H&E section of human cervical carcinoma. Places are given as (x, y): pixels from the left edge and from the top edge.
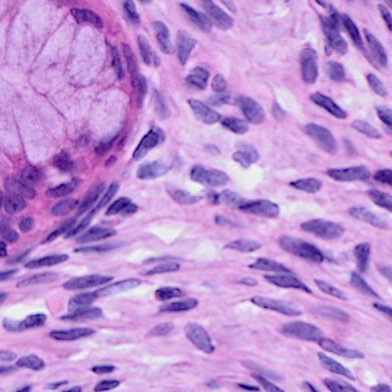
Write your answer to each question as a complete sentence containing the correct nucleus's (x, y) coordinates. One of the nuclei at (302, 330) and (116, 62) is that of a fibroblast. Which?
The nucleus positioned at (302, 330) is the one that belongs to a fibroblast.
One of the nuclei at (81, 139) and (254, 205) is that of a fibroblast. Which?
Of the two nuclei, that at (254, 205) is the nucleus of a fibroblast.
